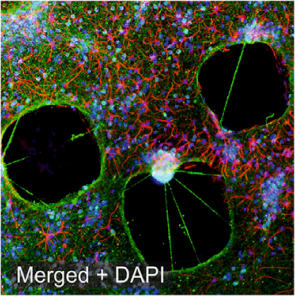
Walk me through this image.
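This is a culture of neurons and astrocytes covering a flat surface pierced by dark, rounded-square wells. Around the wells the surface carries many small round blue nuclei, red star-shaped astrocytes with thin branching processes, and a fine green mesh of neuronal processes. From a dense cluster of cells sitting on the rim of a well, straight green processes fan out like spokes across the dark opening.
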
